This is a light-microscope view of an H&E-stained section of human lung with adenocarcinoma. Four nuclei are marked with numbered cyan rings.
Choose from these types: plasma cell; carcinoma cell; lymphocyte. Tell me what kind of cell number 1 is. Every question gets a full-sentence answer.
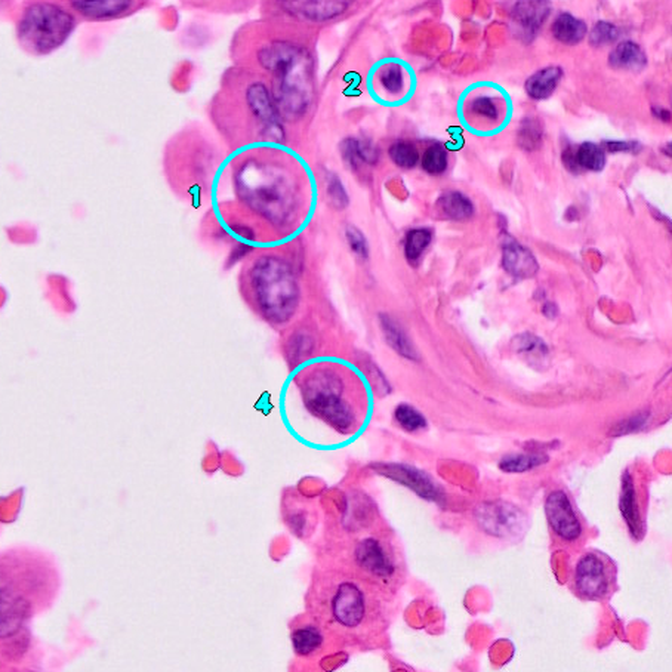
Of the numbered cells, the one labelled 1 is a carcinoma cell.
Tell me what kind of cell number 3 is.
The cell assigned the number 3 is a plasma cell.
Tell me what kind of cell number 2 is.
To a lymphocyte belongs the nucleus marked 2.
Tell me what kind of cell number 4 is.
The nucleus labelled 4 belongs to a carcinoma cell.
